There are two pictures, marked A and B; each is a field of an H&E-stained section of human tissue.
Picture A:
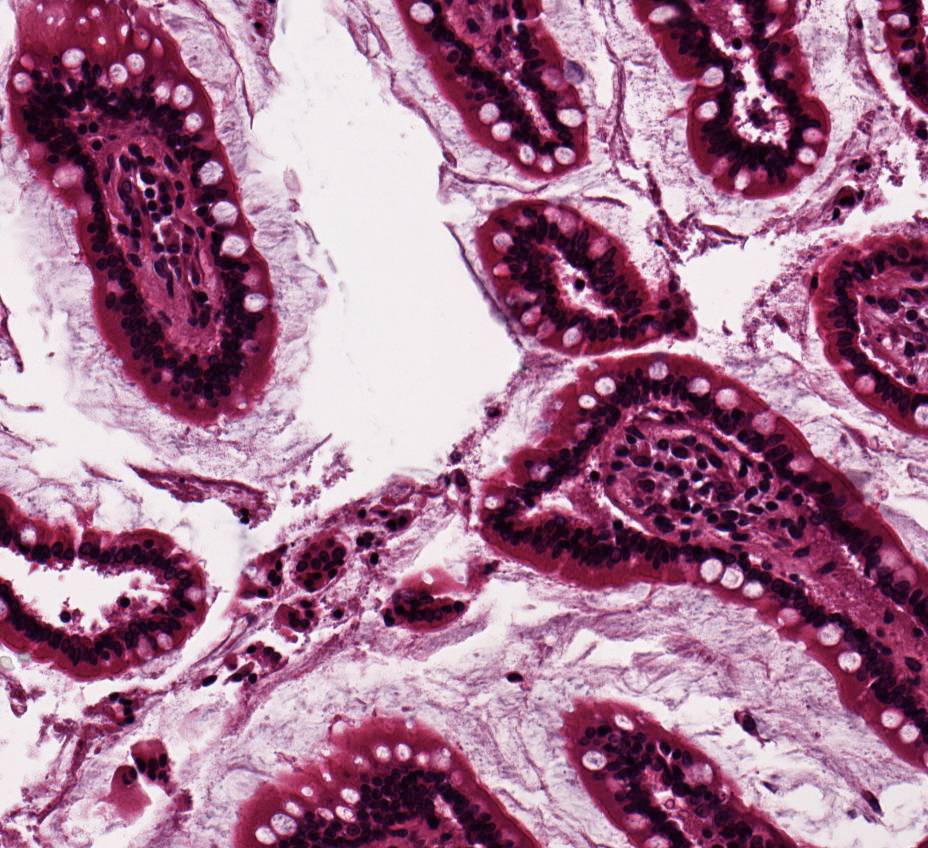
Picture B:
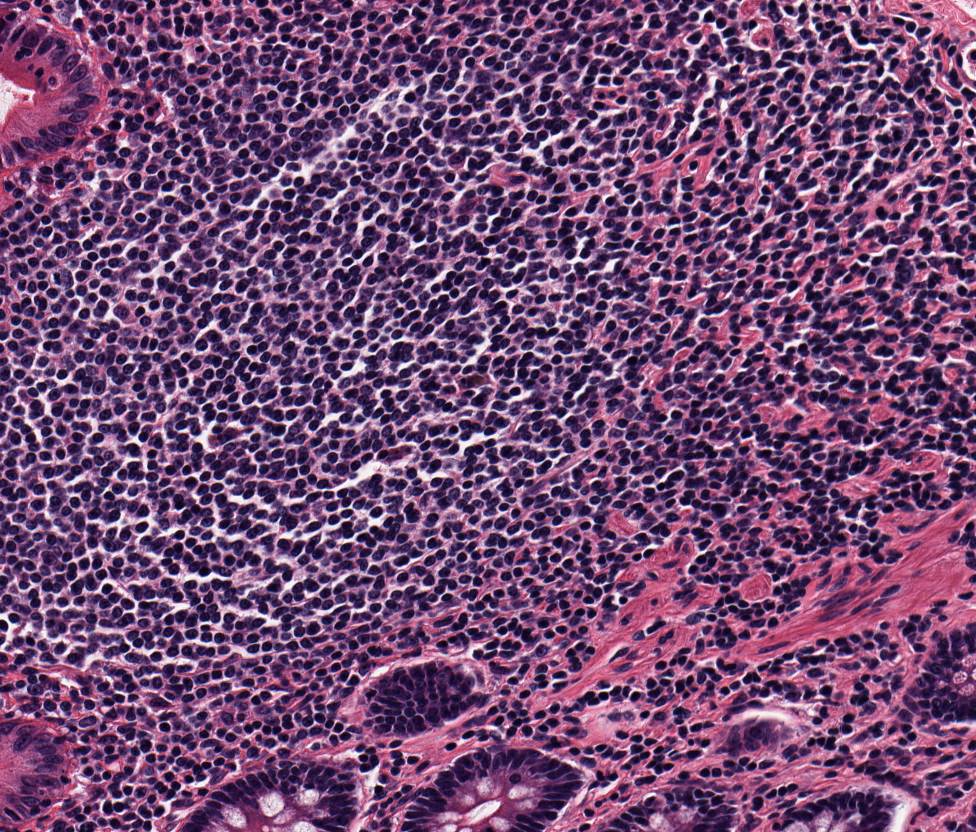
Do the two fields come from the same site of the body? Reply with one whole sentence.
Yes; both pictures come from the terminal ileum.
